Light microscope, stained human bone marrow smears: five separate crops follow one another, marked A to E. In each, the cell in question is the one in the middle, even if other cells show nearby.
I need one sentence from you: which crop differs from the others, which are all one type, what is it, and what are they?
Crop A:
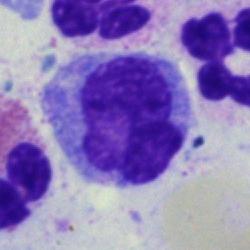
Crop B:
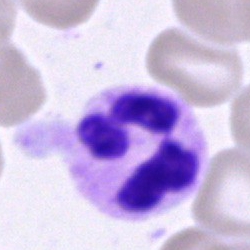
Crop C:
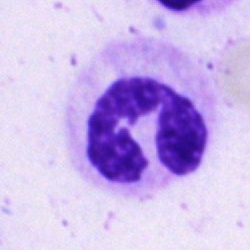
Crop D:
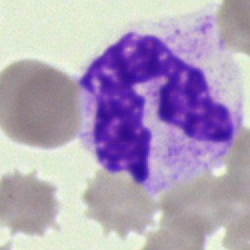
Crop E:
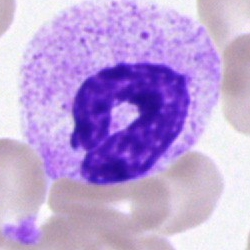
Crop A holds a monocyte, unlike the remaining crops, all of which hold neutrophils.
